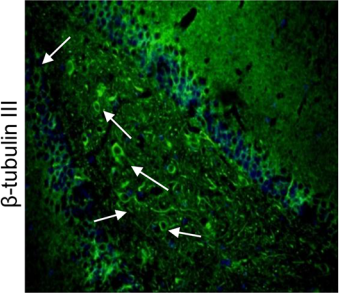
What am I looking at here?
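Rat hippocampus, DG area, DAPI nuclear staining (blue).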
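This field of the dentate gyrus shows neurons whose green-outlined cell bodies are relatively large and round, lying in a region of fine green fibres beside a band of packed cells. The arrowed cells have rounded bodies with only a few short processes.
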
